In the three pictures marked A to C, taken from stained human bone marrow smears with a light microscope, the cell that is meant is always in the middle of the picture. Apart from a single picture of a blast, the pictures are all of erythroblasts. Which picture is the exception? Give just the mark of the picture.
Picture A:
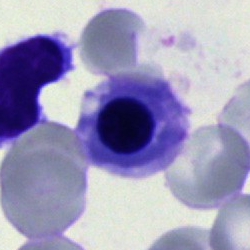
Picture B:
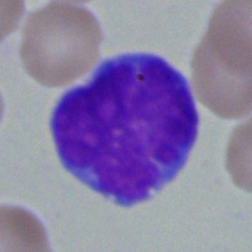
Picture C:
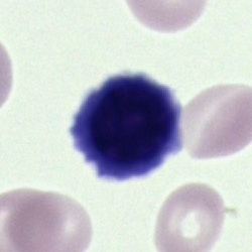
B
